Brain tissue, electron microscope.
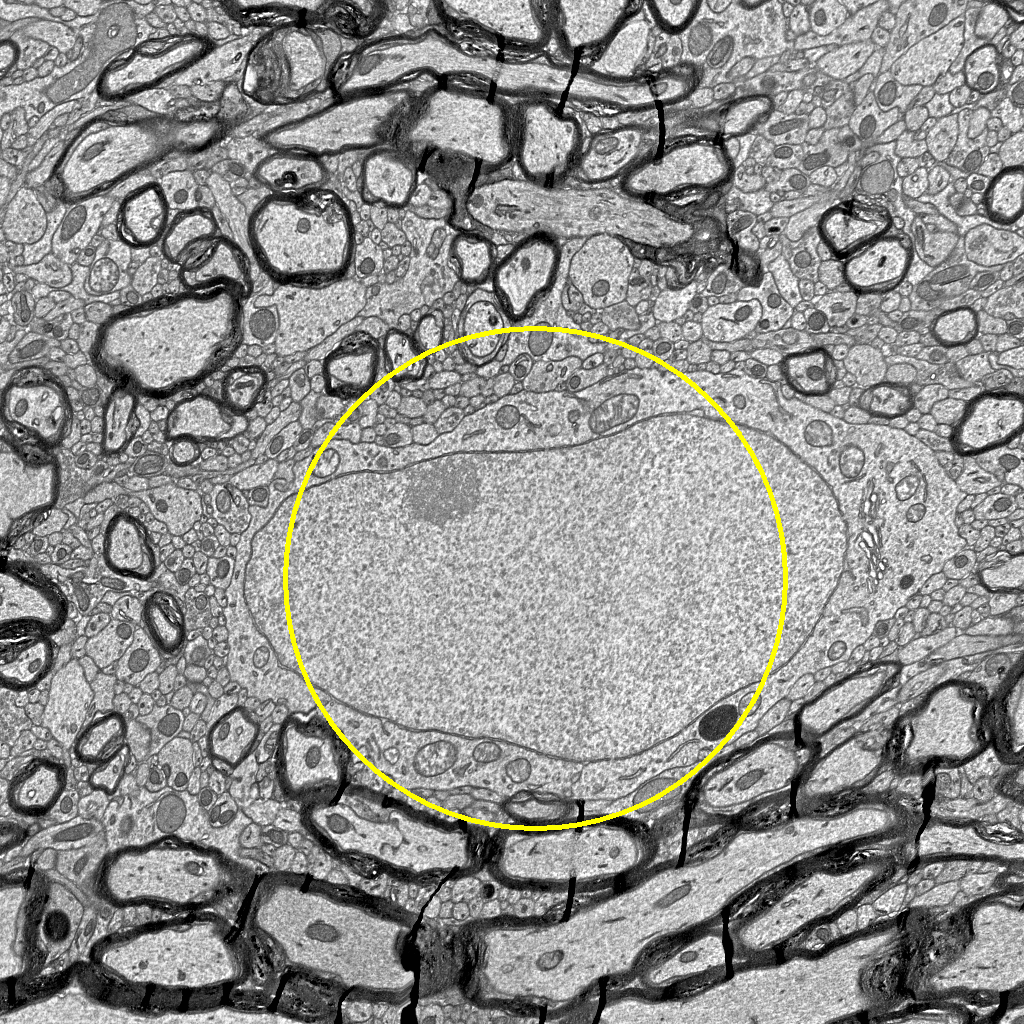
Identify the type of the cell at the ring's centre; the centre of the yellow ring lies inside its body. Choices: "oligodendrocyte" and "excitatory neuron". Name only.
excitatory neuron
